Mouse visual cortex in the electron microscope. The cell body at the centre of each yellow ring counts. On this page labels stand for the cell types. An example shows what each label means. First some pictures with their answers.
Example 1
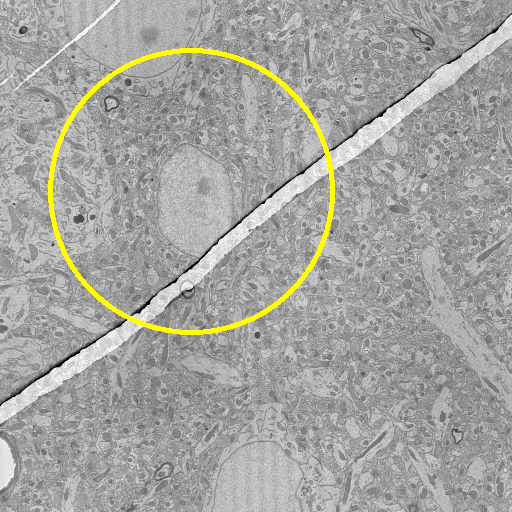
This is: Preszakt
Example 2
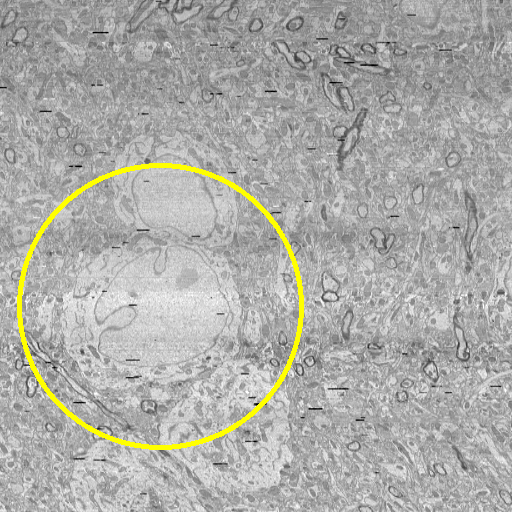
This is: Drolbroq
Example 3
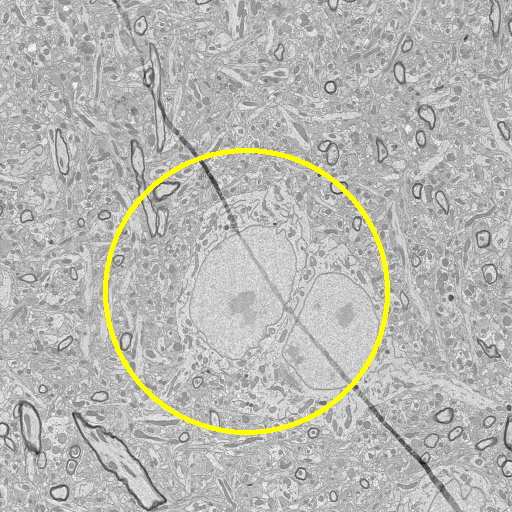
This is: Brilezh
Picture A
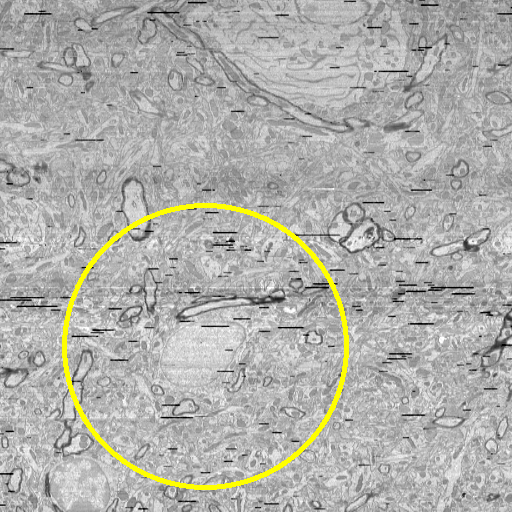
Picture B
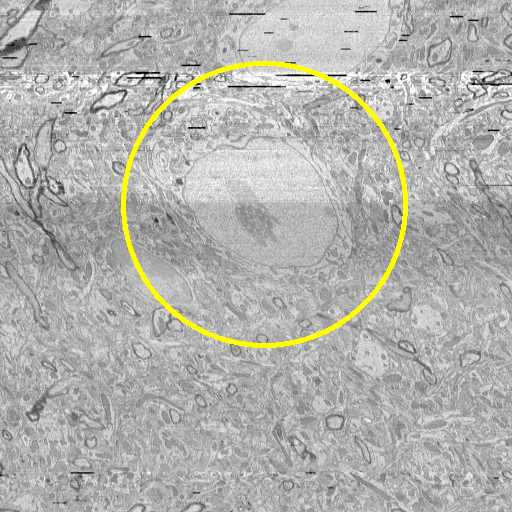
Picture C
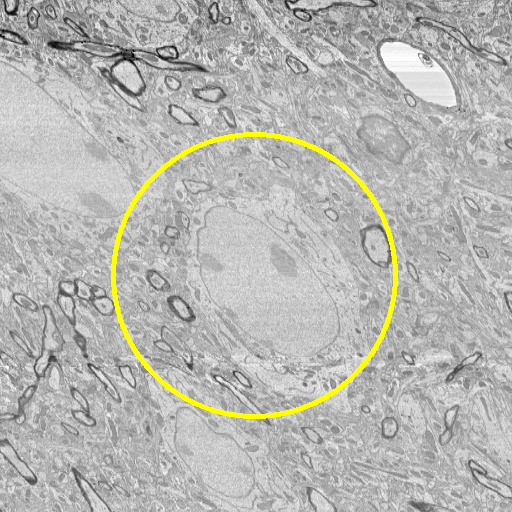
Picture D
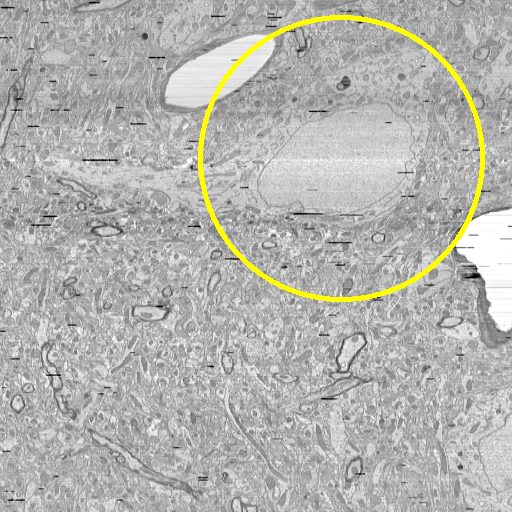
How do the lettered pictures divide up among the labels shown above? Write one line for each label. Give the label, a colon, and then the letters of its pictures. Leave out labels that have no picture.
Preszakt: A
Drolbroq: C, D
Brilezh: B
